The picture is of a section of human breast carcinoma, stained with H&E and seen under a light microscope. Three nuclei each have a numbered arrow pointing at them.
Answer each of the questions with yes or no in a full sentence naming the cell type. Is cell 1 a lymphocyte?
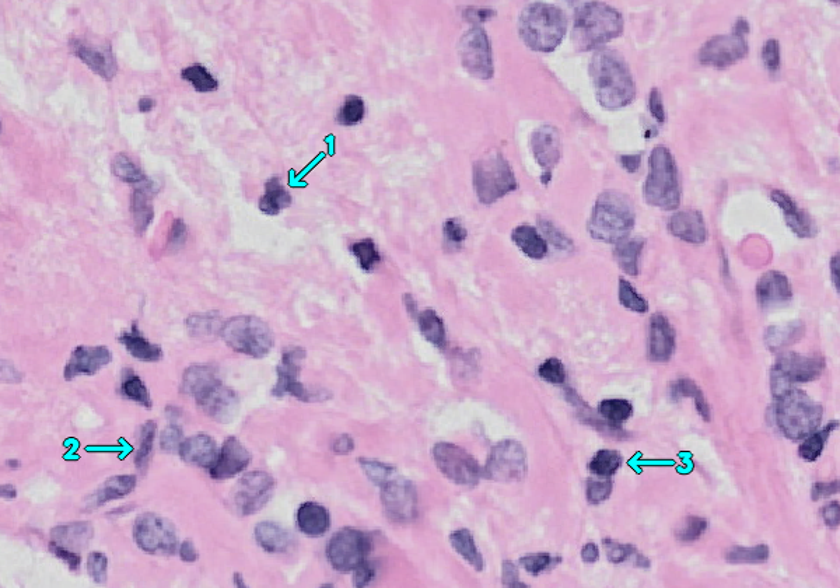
Yes, regarding number 1, the cell is a lymphocyte.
